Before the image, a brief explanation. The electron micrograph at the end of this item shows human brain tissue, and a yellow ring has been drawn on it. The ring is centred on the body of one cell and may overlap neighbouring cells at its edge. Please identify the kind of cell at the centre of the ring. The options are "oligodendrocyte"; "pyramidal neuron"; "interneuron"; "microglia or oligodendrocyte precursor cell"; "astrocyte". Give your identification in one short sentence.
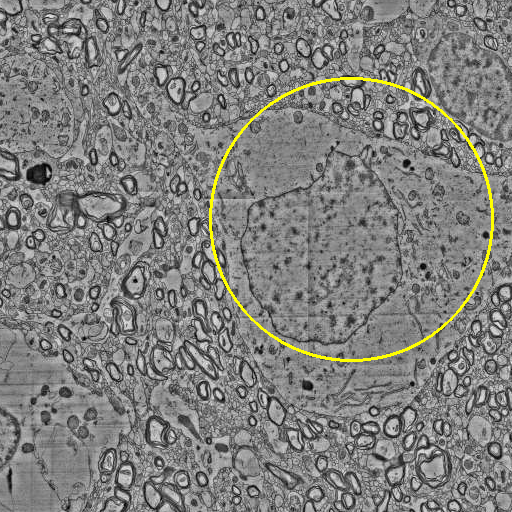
The ring has been placed around a pyramidal neuron.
